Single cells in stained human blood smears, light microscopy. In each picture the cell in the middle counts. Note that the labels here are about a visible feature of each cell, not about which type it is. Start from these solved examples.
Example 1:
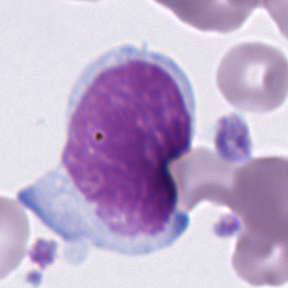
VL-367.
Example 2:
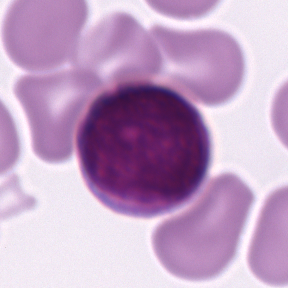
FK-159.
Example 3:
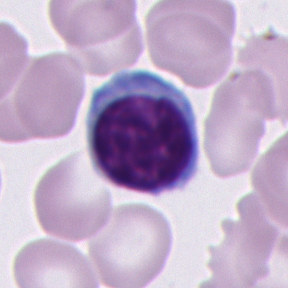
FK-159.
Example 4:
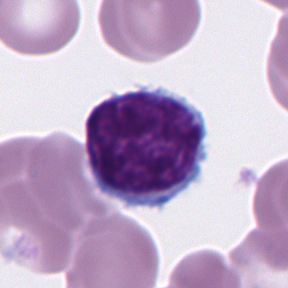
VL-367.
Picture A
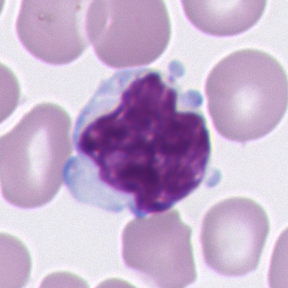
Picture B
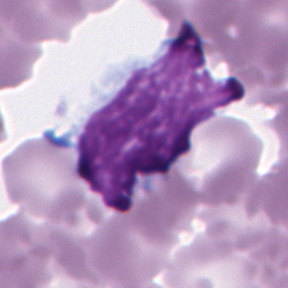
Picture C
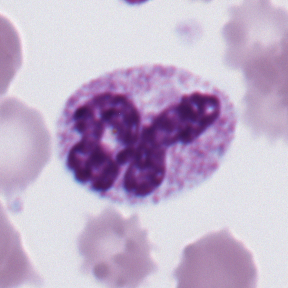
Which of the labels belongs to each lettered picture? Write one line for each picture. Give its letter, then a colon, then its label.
A: VL-367.
B: VL-367.
C: FK-159.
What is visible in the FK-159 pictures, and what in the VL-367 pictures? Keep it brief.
FK-159, smooth outline; VL-367, ragged outline or projections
